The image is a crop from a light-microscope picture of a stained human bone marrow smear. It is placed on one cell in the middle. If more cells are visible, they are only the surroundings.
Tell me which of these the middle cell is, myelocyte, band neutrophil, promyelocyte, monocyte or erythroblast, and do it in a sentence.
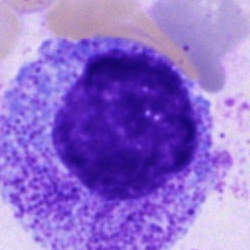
In the center of this field lies a promyelocyte.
